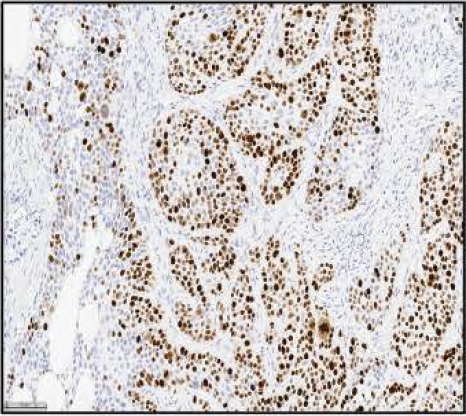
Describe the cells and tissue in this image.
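This is a tumor built of rounded and elongated nests of closely packed tumor cells, separated by pale fibrous stroma with thin spindle-shaped cells. Inside the nests many nuclei are stained dark brown, often most densely toward the edges of the nests, while others remain blue. The stroma between the nests carries mostly blue, slender nuclei with few brown ones. A few clear round spaces, likely fat, lie at the left margin.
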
